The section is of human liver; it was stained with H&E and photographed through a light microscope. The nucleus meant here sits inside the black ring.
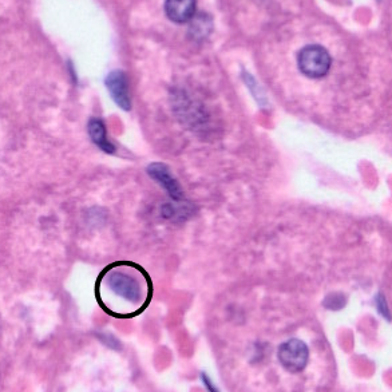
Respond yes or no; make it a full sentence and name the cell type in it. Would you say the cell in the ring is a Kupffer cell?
Yes, the identification stands: the cell in the ring is a Kupffer cell.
